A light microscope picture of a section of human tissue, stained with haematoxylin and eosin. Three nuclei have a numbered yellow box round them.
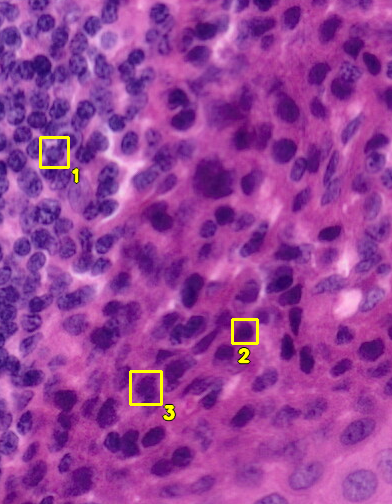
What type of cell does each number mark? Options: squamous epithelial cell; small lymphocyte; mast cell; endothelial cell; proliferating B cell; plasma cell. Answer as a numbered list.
1. small lymphocyte
2. squamous epithelial cell
3. squamous epithelial cell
